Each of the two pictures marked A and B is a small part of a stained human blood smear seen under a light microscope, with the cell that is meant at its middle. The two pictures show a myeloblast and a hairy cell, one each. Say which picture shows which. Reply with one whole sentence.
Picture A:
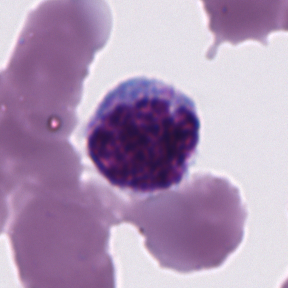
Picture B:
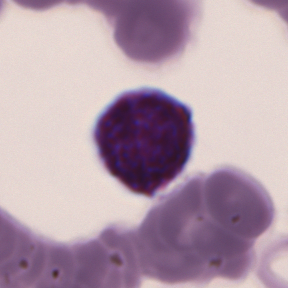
Picture A is of a hairy cell, and picture B is of a myeloblast.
